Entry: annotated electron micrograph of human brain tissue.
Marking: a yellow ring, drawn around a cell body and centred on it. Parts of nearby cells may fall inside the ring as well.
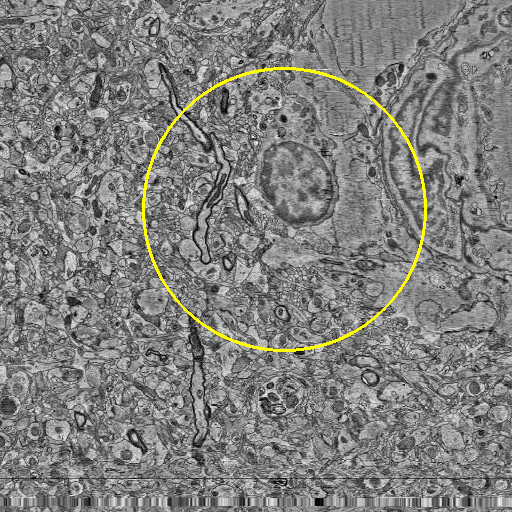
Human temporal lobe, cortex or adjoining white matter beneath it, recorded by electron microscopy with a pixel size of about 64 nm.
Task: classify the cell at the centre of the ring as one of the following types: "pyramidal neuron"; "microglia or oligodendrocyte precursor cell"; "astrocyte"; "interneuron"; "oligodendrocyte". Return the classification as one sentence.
The marked cell is classified as an oligodendrocyte.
